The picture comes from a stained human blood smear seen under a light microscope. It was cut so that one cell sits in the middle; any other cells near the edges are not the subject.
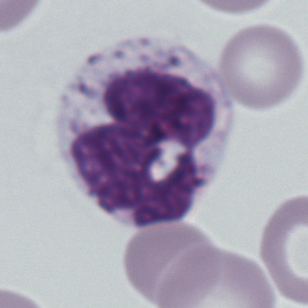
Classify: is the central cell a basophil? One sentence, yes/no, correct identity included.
Yes, the identification of the central cell as a basophil is correct.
